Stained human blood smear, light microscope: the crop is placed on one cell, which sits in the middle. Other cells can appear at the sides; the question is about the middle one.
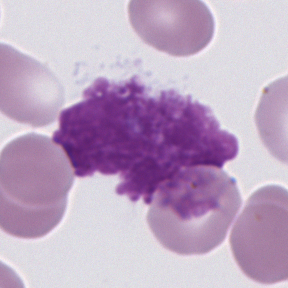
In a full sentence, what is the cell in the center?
The cell the crop is centered on is a smudge cell.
